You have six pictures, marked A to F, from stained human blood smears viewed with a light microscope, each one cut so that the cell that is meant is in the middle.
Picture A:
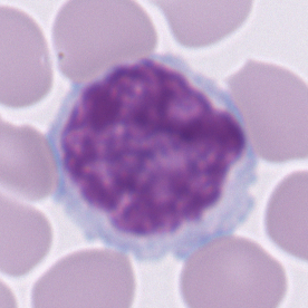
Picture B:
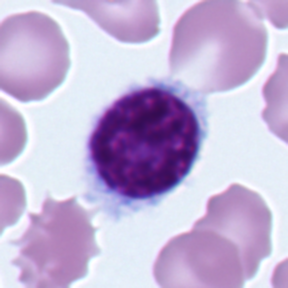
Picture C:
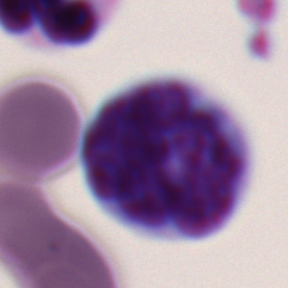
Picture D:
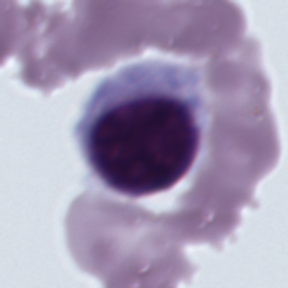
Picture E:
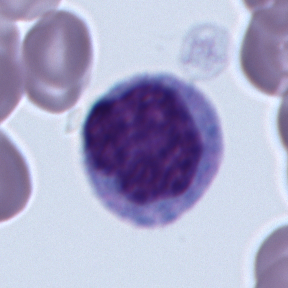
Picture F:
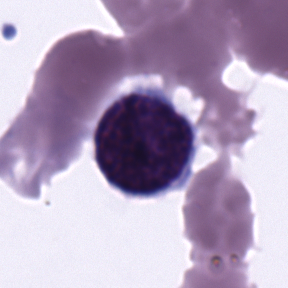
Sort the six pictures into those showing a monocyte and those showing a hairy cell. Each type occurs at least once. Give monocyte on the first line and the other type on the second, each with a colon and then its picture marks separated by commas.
monocyte: A, C, E
hairy cell: B, D, F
